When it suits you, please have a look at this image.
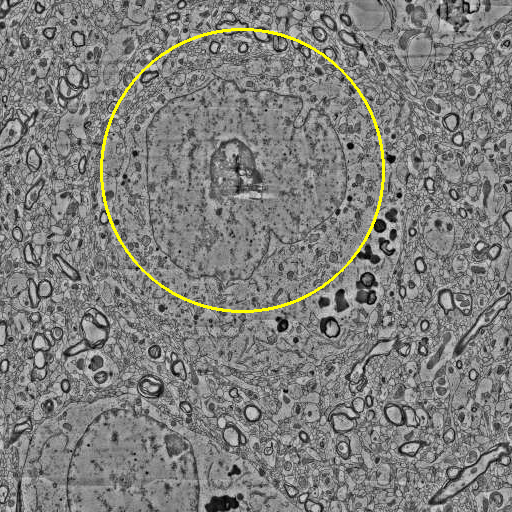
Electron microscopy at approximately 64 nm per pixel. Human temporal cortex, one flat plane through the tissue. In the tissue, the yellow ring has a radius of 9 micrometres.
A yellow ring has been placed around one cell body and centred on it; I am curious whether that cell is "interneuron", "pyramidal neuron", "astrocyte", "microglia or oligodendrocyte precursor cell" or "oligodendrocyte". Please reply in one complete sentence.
The ringed cell, a pyramidal neuron, has its body at the centre of the yellow ring.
